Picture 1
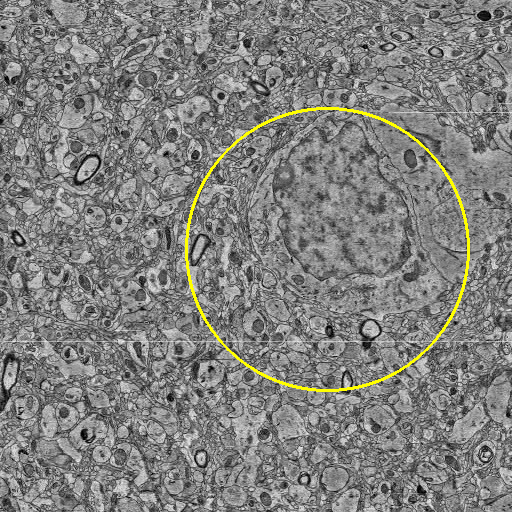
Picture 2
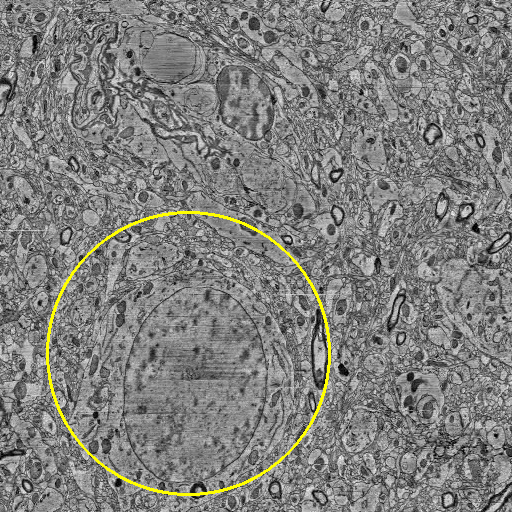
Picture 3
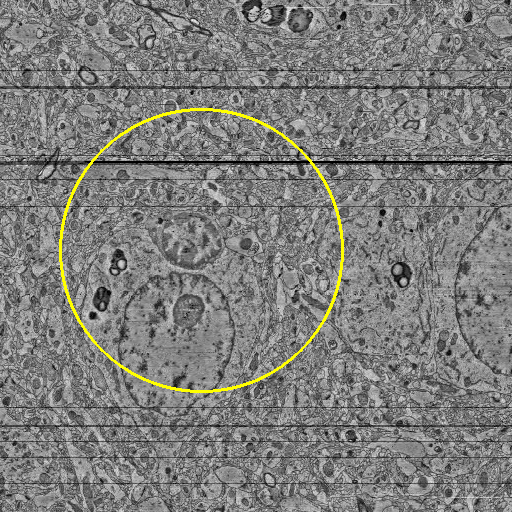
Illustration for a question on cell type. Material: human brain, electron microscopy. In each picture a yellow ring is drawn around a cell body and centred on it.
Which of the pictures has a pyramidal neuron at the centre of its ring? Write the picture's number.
2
